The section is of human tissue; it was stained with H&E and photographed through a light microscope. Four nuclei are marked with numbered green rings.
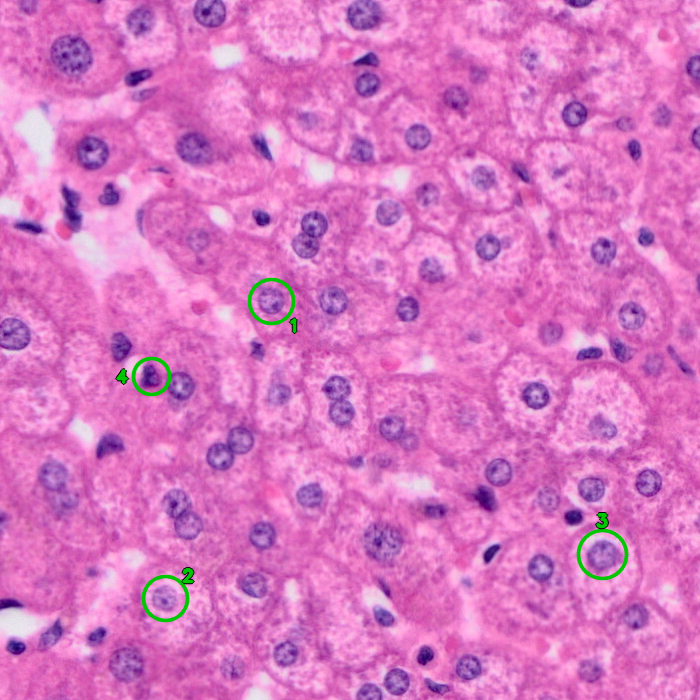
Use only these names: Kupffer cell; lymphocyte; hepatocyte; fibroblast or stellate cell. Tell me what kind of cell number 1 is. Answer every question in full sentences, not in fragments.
The cell identified by the number 1 is a hepatocyte.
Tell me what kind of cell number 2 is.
The identity of cell 2 is that of a hepatocyte.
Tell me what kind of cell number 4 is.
Among the marked cells, number 4 is a fibroblast or stellate cell.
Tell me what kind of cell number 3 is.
At number 3, the marked cell is a hepatocyte.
